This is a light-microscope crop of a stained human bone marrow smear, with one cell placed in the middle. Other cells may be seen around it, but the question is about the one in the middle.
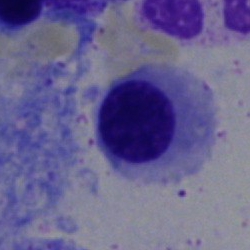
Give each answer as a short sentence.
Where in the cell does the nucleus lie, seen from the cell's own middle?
The nucleus sits off-centre, toward the left.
